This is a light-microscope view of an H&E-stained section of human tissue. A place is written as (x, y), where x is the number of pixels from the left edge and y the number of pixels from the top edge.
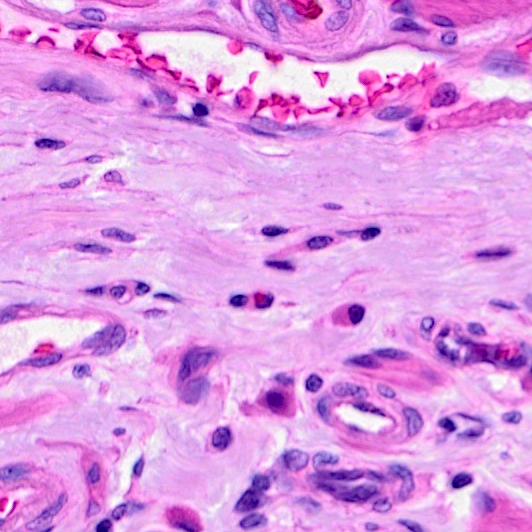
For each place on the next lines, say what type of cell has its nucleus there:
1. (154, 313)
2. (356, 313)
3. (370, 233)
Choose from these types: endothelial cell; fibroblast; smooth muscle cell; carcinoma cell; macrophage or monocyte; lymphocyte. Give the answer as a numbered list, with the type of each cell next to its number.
1. fibroblast
2. lymphocyte
3. lymphocyte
